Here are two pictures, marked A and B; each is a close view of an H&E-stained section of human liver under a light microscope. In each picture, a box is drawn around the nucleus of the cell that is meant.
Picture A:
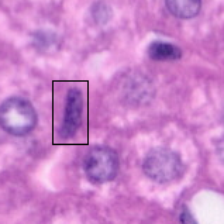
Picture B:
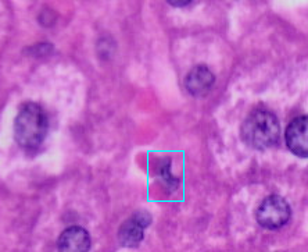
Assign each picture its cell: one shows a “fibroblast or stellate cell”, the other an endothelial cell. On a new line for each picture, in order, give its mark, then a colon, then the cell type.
A: fibroblast or stellate cell
B: endothelial cell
